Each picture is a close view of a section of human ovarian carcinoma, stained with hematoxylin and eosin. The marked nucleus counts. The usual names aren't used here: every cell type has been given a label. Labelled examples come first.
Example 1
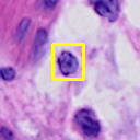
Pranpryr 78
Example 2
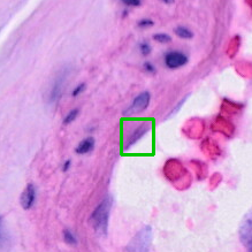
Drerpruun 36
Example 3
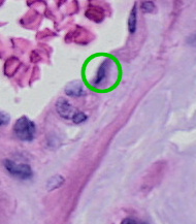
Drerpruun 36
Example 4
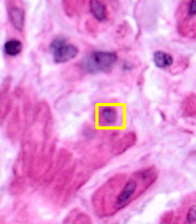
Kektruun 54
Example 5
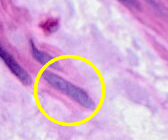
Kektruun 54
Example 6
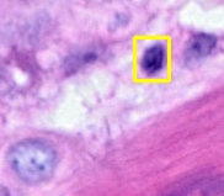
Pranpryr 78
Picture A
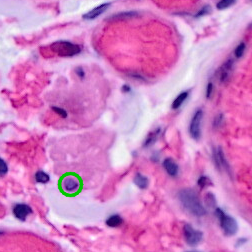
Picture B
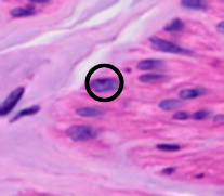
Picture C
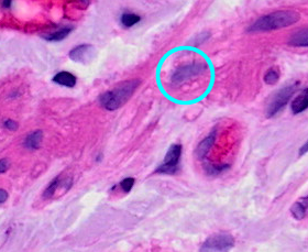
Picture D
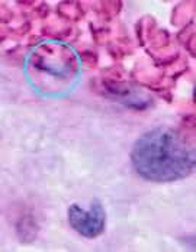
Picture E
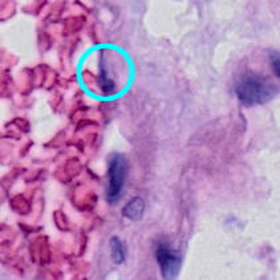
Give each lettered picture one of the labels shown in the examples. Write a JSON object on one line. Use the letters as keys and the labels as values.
{"A": "Kektruun 54", "B": "Kektruun 54", "C": "Kektruun 54", "D": "Drerpruun 36", "E": "Drerpruun 36"}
